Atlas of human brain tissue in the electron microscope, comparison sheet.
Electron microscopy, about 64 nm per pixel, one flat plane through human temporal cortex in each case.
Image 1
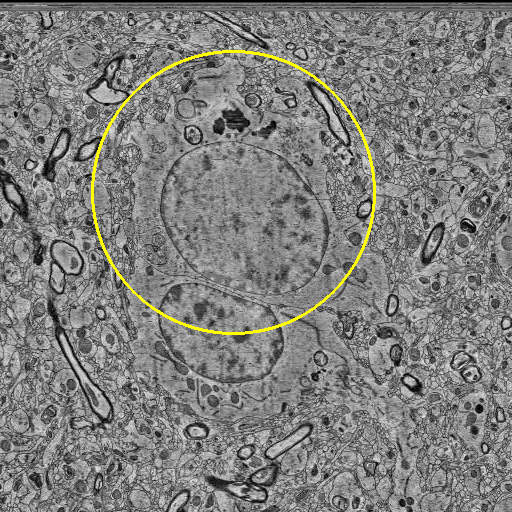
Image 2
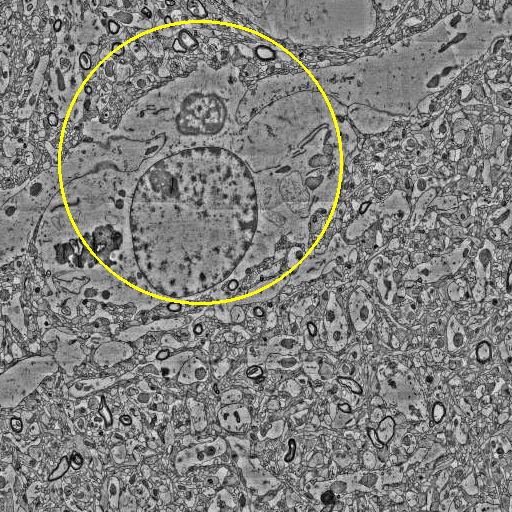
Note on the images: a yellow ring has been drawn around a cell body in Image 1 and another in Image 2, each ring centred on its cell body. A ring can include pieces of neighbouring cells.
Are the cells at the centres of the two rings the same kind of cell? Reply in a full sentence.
Yes, both cells are of the same kind.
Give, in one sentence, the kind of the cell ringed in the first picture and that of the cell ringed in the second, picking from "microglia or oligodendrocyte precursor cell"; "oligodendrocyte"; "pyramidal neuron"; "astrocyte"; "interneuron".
In each of the two pictures, the ringed cell is an astrocyte.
